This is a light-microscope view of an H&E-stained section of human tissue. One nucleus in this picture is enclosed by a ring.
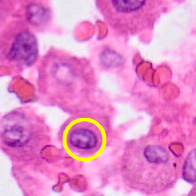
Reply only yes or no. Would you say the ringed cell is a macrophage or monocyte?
yes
